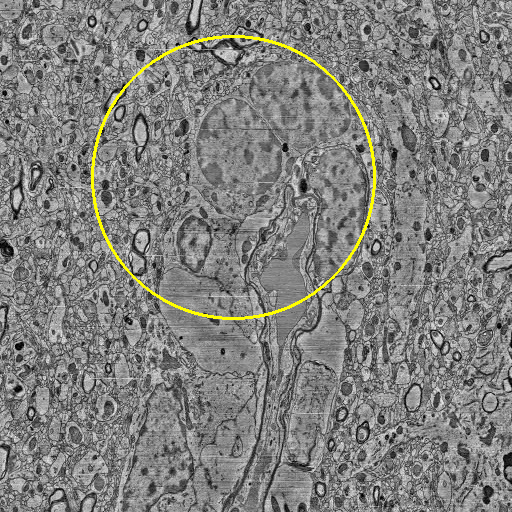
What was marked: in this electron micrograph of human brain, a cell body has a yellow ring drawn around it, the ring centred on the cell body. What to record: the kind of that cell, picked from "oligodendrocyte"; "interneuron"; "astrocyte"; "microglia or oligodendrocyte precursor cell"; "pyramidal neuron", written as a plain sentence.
The centred cell is an oligodendrocyte.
